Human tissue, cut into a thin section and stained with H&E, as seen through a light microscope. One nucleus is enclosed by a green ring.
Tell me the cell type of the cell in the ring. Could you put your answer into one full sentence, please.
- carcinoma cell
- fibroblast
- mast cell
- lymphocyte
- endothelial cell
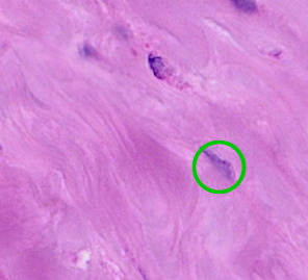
In terms of identity, the cell in the ring is a fibroblast.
